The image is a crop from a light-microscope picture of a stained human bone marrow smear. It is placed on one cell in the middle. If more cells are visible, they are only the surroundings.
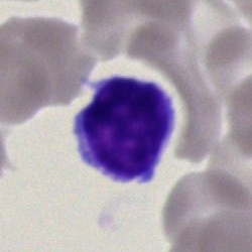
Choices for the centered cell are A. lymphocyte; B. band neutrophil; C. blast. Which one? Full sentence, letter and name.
Option A gives the correct identity of the central cell, namely a lymphocyte.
